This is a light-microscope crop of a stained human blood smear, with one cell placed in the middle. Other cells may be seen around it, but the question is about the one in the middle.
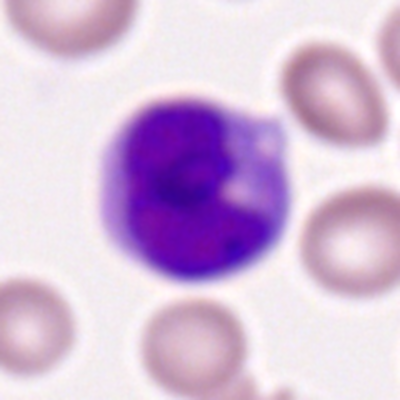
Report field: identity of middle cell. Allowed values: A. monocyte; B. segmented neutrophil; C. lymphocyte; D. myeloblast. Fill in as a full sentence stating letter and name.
The central cell of the crop is a monocyte, which makes A the correct option.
